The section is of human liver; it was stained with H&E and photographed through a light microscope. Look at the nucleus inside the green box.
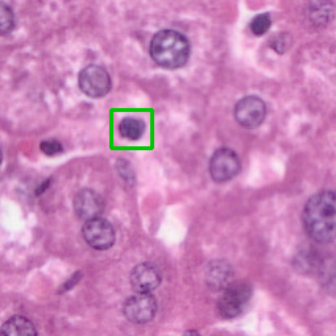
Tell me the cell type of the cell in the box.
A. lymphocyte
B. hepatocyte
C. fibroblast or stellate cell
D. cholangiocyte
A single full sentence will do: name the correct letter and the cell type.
Under option A, the cell in the box is a lymphocyte, which is the correct identification.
